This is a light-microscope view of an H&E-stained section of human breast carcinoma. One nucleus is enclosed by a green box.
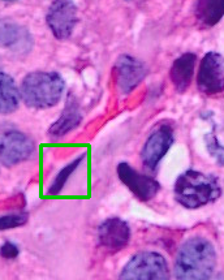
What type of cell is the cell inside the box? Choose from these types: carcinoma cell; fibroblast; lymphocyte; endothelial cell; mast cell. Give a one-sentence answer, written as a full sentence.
On this particular slide, the cell inside the box is an endothelial cell.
